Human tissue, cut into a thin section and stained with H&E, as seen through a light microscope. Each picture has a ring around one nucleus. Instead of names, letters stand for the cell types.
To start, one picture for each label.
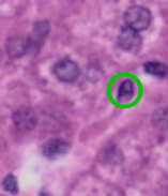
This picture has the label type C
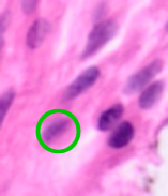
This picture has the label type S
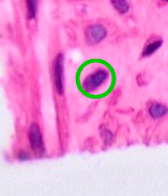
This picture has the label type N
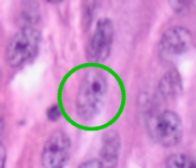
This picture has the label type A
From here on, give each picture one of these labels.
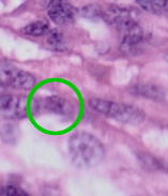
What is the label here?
type A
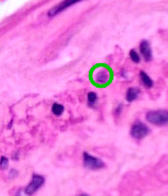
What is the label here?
type N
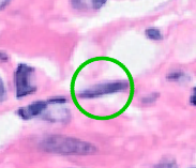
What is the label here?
type S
